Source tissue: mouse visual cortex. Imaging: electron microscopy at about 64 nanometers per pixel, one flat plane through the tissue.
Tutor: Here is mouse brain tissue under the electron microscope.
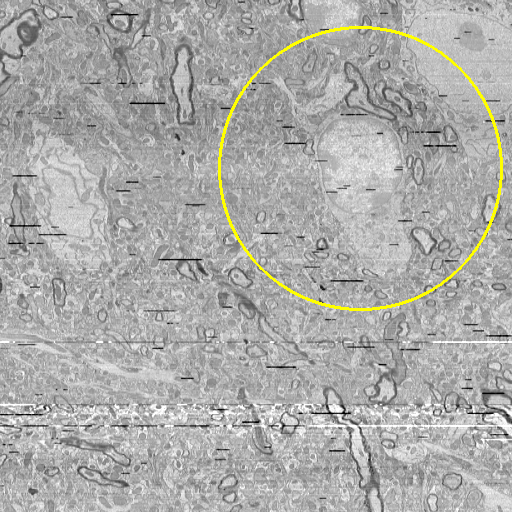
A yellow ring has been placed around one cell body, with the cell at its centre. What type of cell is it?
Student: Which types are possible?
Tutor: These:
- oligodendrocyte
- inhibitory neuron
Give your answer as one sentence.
What the ring picks out here is an oligodendrocyte.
